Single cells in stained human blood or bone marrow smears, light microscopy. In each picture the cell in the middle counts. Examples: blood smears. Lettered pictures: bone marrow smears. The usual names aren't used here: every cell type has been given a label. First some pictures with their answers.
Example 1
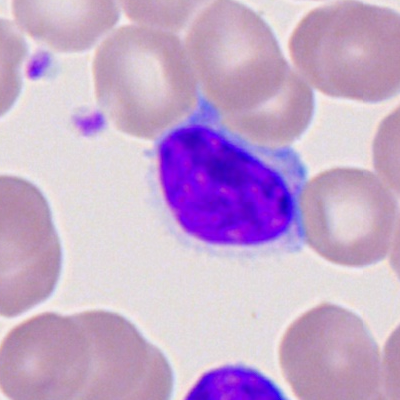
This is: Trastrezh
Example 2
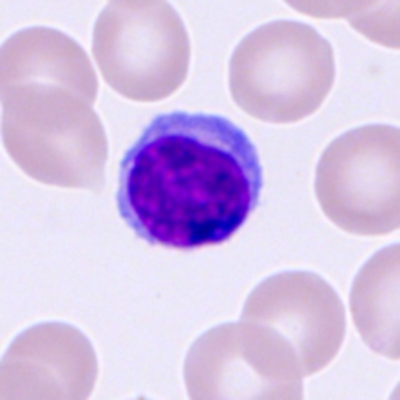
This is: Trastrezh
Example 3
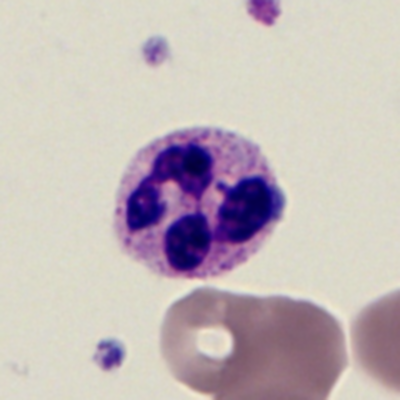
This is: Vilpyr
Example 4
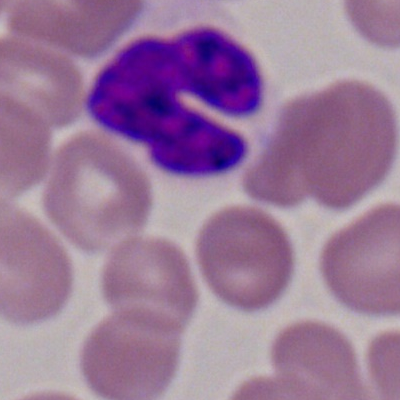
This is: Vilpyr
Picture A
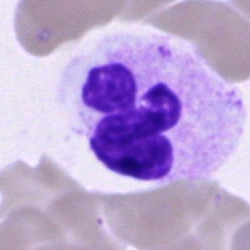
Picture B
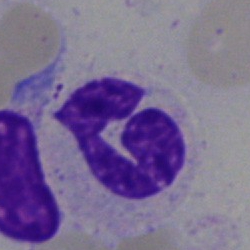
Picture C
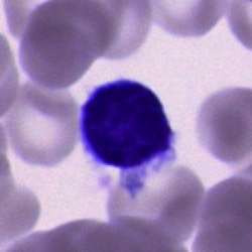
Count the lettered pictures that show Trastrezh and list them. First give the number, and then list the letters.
Count: 1 (C)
